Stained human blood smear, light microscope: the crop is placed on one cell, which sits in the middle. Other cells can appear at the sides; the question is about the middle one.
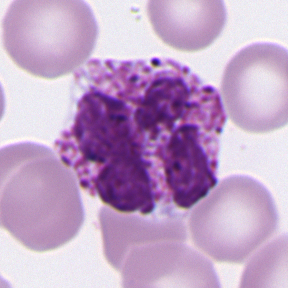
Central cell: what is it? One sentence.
The central cell, amid any neighbouring cells, is a basophil.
